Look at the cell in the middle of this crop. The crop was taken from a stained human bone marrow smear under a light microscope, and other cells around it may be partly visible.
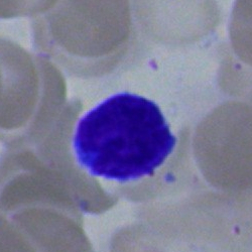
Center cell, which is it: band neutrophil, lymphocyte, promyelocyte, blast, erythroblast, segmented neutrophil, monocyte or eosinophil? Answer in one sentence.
The cell under consideration, at the middle of the crop, is a lymphocyte.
